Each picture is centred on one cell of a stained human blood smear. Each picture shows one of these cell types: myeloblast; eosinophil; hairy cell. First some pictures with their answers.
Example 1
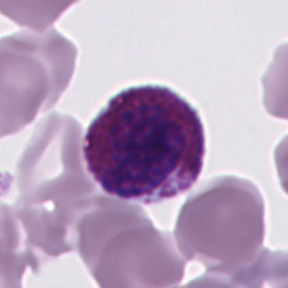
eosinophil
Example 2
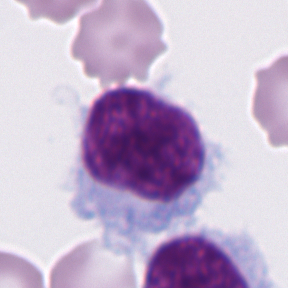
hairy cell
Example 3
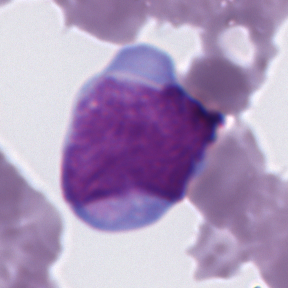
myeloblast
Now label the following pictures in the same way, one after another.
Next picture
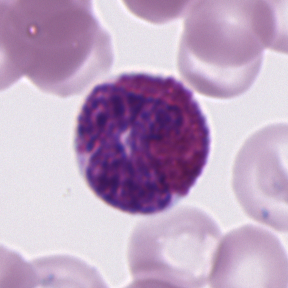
eosinophil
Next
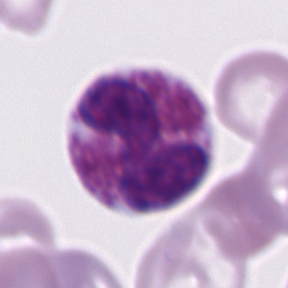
eosinophil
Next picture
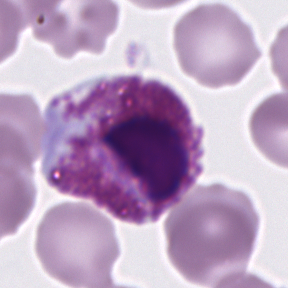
eosinophil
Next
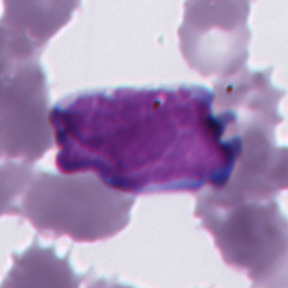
myeloblast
